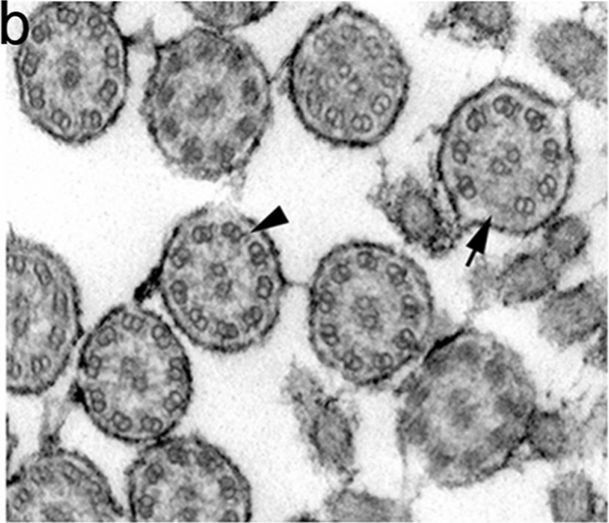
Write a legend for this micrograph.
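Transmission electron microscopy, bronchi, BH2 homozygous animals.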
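Numerous cross-sectioned respiratory cilia lie loosely packed, each a round or slightly polygonal profile with a dark bounding membrane. Most show a peripheral ring of paired microtubule profiles around a central region. In some the doublets are irregularly spaced and the central area is disordered, and small projections on the doublets are hard to make out. Fragments of flocculent material and smaller profiles lie between the cilia.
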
